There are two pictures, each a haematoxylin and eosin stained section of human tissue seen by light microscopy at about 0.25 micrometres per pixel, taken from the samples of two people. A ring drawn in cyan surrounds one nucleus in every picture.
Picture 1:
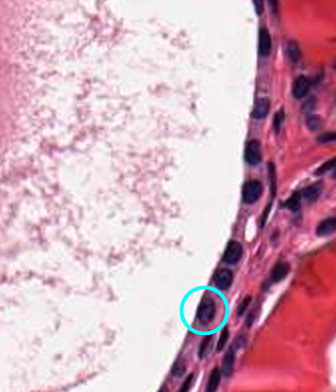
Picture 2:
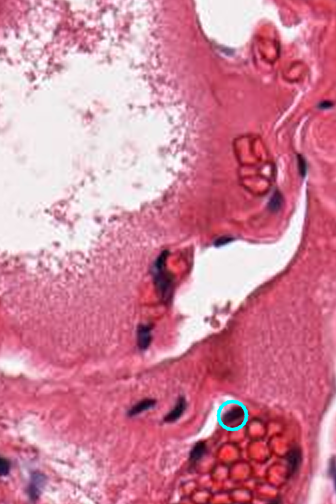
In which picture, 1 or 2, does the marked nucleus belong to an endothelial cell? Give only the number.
2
